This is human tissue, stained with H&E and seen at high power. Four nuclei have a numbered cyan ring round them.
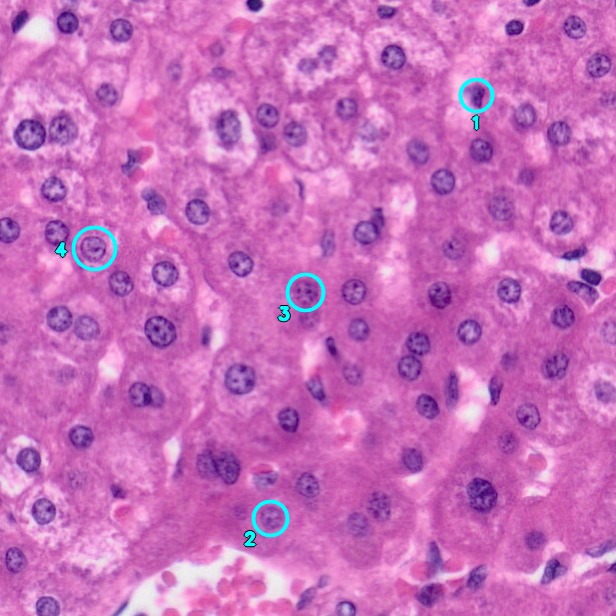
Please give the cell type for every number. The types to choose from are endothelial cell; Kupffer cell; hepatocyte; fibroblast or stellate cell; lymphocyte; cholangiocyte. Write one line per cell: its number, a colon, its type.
1: endothelial cell
2: hepatocyte
3: hepatocyte
4: hepatocyte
